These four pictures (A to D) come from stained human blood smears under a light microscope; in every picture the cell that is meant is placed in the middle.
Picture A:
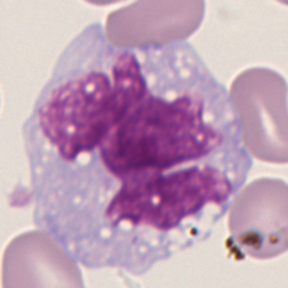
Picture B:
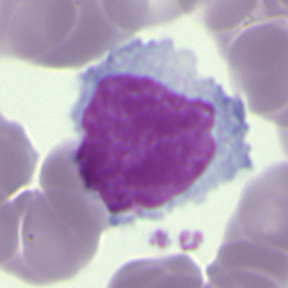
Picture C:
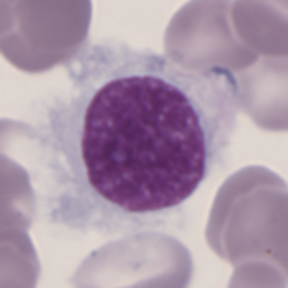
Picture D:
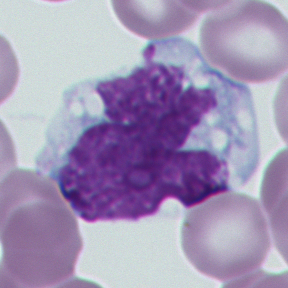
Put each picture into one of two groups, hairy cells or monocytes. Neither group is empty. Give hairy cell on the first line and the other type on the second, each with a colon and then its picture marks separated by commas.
hairy cell: C
monocyte: A, B, D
